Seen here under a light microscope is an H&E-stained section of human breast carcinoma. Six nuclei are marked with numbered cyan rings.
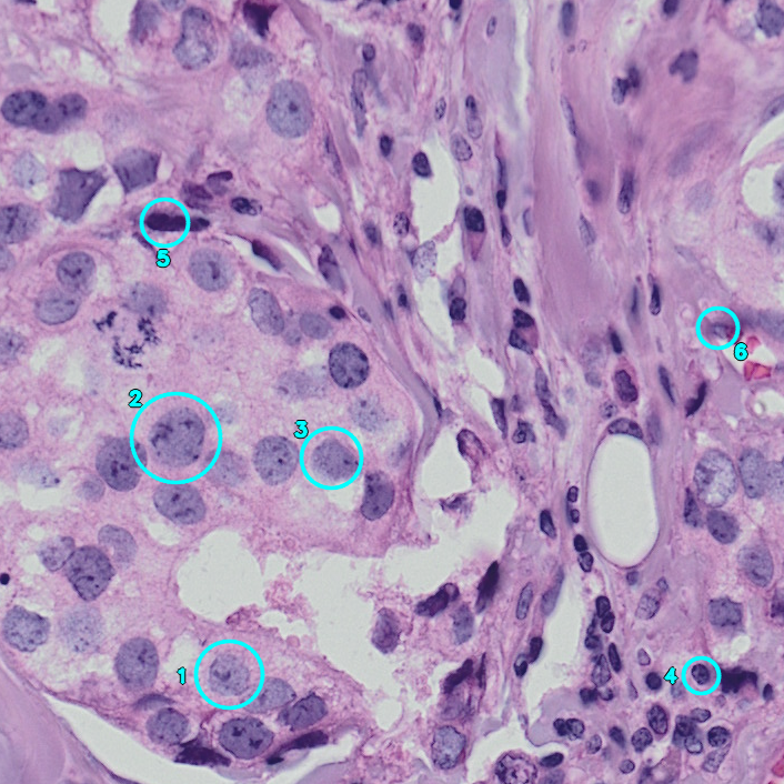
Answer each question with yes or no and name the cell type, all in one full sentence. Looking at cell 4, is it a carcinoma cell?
No, the cell indicated by 4 is a lymphocyte instead of a carcinoma cell.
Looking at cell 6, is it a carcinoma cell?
No, cell 6 is identified not as a carcinoma cell but as an endothelial cell.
